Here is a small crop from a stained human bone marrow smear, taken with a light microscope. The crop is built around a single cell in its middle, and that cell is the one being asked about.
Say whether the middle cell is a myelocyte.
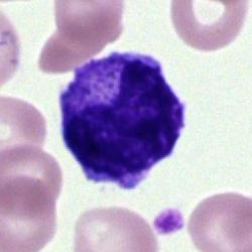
no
